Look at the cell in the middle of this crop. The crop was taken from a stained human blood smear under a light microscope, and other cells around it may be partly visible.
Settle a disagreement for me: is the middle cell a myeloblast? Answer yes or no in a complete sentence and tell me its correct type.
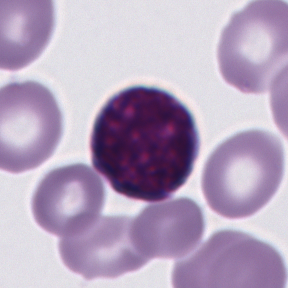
Yes, the cell at the centre of the field is a myeloblast.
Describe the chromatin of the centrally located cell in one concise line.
What stands out is chromatin that is coarsely clumped.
